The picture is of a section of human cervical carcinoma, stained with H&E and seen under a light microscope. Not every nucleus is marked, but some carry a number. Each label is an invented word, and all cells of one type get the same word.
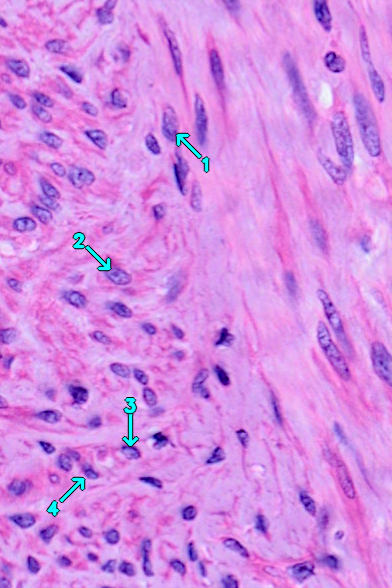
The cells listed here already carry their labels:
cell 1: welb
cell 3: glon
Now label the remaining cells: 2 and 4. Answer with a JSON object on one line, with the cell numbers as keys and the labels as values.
{"2": "glon", "4": "glon"}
